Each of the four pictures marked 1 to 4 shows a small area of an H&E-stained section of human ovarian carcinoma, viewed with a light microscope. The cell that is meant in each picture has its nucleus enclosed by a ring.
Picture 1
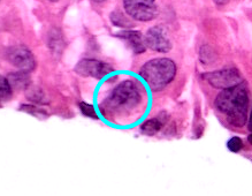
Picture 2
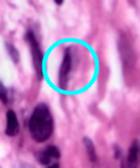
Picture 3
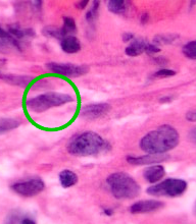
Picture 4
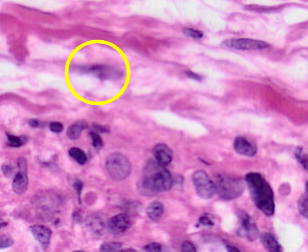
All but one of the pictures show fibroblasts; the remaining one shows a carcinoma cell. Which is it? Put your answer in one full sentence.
Picture 1 shows the carcinoma cell.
